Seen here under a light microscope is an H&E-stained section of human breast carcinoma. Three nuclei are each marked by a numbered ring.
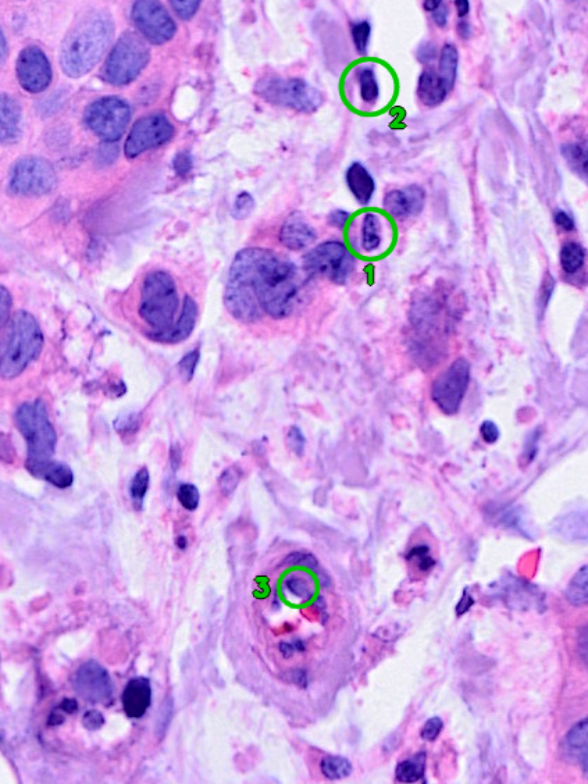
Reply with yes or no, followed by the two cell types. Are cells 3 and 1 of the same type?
No, classify cell 3 as an endothelial cell and cell 1 as a lymphocyte.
